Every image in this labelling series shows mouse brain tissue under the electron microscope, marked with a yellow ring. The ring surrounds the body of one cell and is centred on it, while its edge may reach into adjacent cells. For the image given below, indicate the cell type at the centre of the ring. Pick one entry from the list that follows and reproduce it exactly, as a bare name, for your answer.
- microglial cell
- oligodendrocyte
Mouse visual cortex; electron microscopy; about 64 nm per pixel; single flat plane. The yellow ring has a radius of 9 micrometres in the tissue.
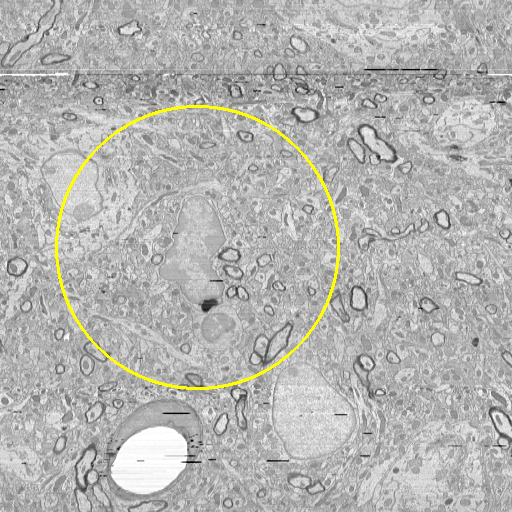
microglial cell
